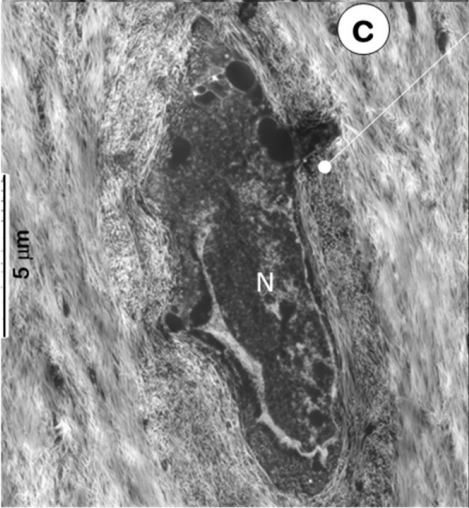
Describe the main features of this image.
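An osteocyte lies within its lacuna in bone matrix. The cell is elongated, and most of it is taken up by a long oval nucleus whose chromatin is clumped and dark, with a paler irregular border. Around the cell a grey, finely fibrous zone fills the lacunar space, distinct in texture from the streaked, fibrous matrix outside it. The matrix fibres run roughly parallel to the long axis of the cell, wrapping around the lacuna.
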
